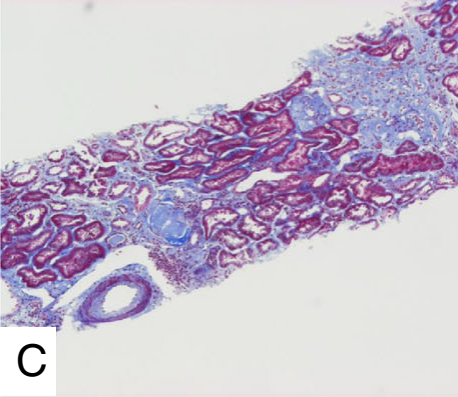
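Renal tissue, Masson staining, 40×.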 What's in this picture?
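At low power this strip of kidney shows many red-stained tubules, with a region where blue-stained tissue widens the spaces between them. A small vessel with a thick wall lies at the lower edge, and a rounded blue-stained structure sits among the tubules.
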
